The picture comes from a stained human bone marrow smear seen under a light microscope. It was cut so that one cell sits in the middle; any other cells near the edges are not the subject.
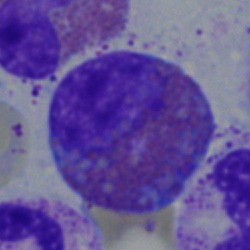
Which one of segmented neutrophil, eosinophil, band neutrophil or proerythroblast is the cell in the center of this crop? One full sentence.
This crop's central cell is an eosinophil.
